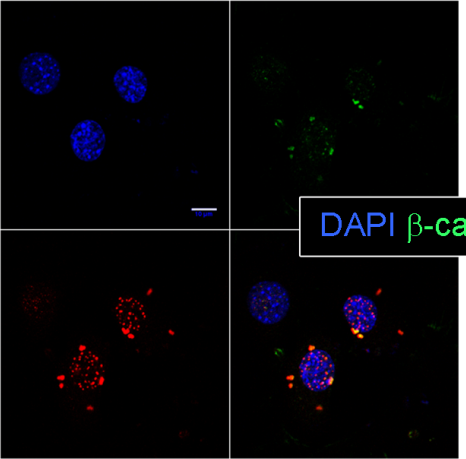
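Three rounded nuclei with granular blue chromatin are visible. Two of the nuclei contain many small, distinct red dots, with a few larger red bodies beside one nucleus. In the merged image most dots appear red, with only a few yellow spots.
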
